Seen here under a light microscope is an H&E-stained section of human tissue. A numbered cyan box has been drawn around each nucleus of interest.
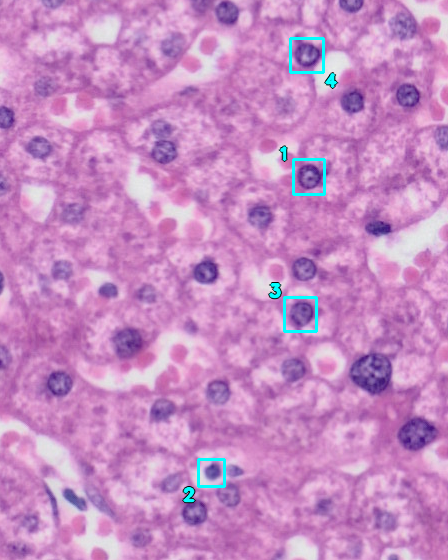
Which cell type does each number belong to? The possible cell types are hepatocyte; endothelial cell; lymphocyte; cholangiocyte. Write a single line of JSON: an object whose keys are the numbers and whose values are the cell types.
{"1": "hepatocyte", "2": "lymphocyte", "3": "hepatocyte", "4": "hepatocyte"}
